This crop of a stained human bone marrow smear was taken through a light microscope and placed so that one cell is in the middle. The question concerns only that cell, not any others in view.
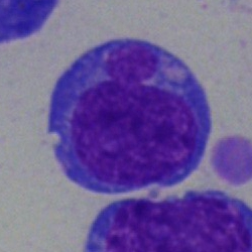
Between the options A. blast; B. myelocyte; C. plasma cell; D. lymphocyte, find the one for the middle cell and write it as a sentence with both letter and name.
The middle of the crop contains a blast, so option A is right.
